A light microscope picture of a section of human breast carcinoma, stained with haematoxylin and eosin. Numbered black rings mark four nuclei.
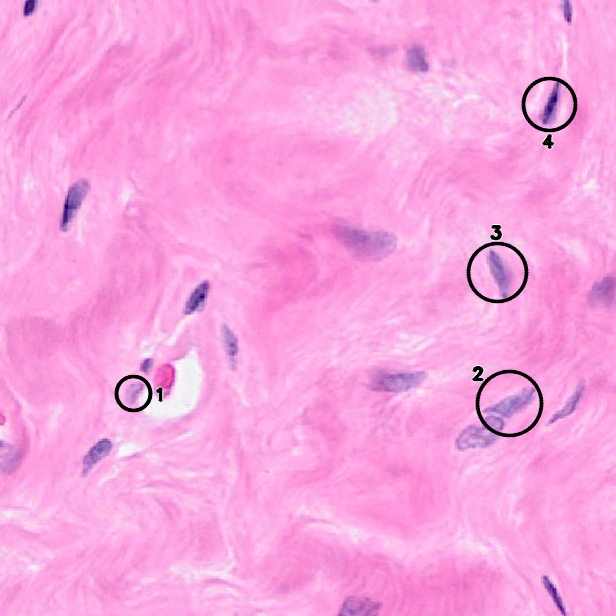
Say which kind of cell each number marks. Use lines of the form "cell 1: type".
cell 1: endothelial cell
cell 2: fibroblast
cell 3: fibroblast
cell 4: fibroblast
